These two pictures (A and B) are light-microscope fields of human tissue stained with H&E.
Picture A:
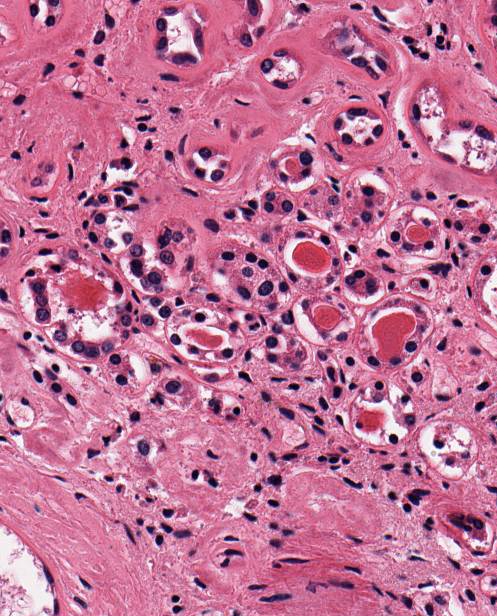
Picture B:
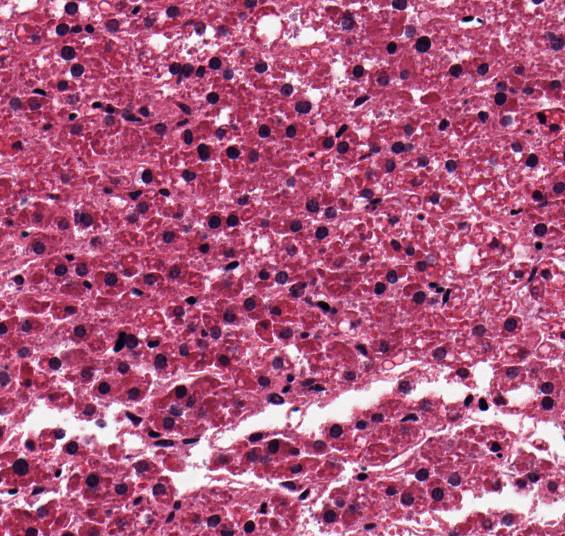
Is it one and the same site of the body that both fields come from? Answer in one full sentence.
No: picture A comes from the renal cortex, but picture B comes from the adrenal gland.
